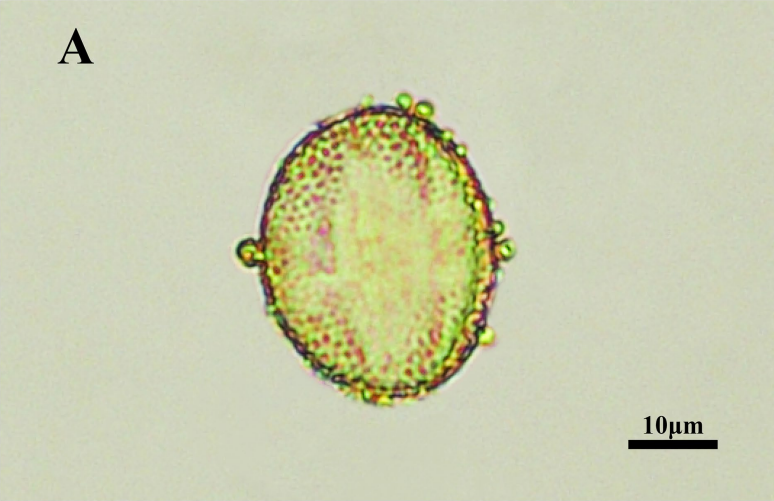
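A single pollen grain seen from the side, with an oval, ellipsoidal outline roughly three scale-bar lengths tall. The wall is thick and shows as a dark rim at the edge. The centre looks paler where the focus passes through the grain. Several small round, refractile droplets stick to the outside of the wall around the margin. No bulging lobes are seen on the outline from this side.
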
